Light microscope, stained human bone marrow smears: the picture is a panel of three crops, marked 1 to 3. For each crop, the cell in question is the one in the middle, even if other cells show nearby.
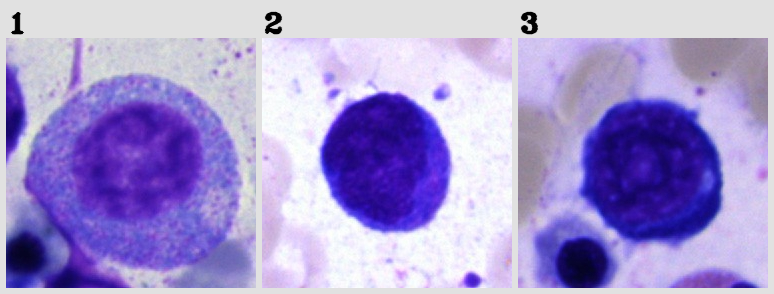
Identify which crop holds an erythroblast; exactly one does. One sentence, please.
The crop with an erythroblast at its center is crop 3.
